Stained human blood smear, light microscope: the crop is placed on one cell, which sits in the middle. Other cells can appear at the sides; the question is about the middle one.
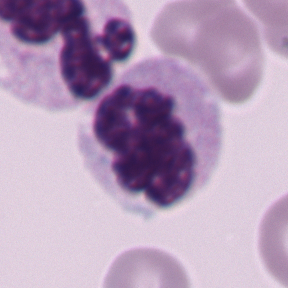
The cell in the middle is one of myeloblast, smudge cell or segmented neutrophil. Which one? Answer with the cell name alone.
segmented neutrophil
